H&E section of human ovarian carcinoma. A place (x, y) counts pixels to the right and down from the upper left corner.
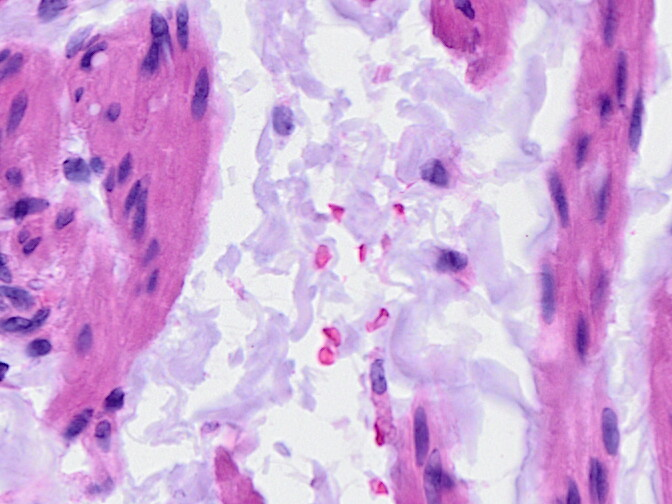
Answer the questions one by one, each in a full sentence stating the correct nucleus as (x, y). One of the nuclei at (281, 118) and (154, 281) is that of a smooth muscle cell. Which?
Only the nucleus at (154, 281), of the two, belongs to a smooth muscle cell.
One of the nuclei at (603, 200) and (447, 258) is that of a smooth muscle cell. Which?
Between the pair, the nucleus at (603, 200) belongs to a smooth muscle cell.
